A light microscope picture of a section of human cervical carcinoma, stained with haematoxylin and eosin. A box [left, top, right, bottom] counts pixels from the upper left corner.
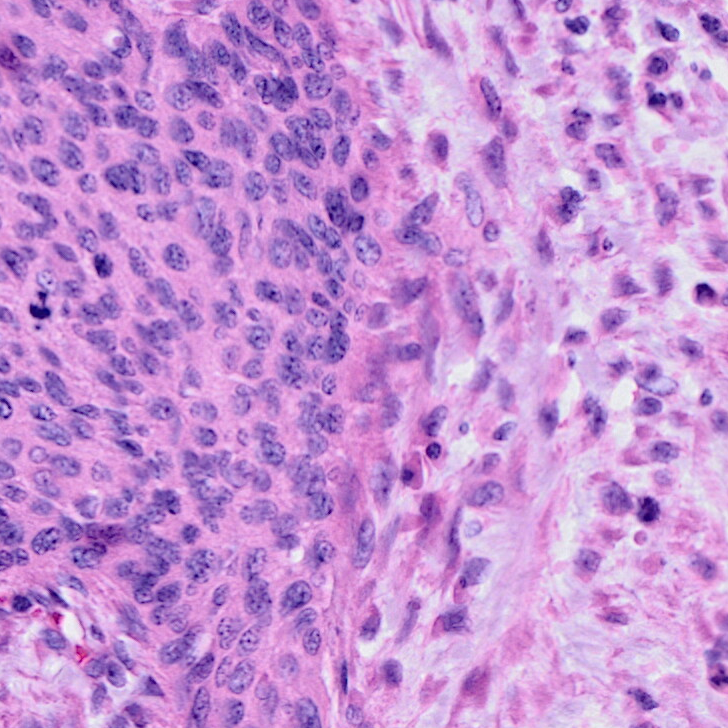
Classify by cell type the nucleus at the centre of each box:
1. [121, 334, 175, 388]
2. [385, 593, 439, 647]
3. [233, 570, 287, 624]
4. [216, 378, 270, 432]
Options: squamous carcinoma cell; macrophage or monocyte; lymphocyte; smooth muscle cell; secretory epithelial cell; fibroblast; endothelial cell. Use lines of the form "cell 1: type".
cell 1: squamous carcinoma cell
cell 2: fibroblast
cell 3: squamous carcinoma cell
cell 4: squamous carcinoma cell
